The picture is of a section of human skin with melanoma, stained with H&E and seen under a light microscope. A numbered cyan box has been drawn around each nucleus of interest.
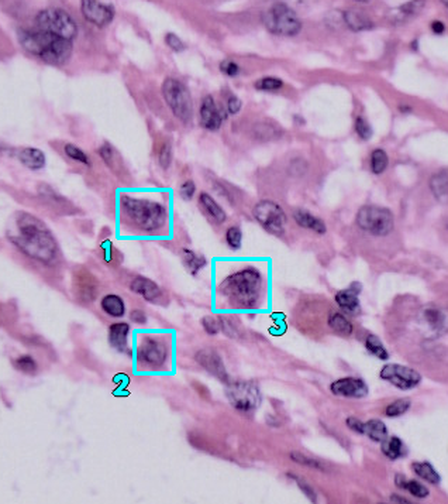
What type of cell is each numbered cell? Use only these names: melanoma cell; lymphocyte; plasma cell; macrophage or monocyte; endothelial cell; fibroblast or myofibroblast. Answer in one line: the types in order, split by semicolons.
melanoma cell; macrophage or monocyte; melanoma cell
